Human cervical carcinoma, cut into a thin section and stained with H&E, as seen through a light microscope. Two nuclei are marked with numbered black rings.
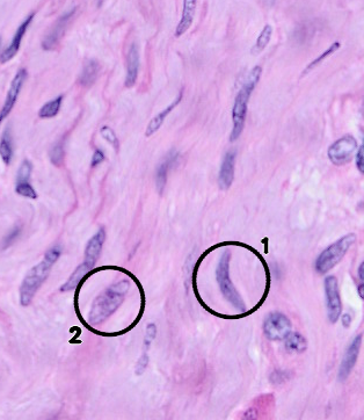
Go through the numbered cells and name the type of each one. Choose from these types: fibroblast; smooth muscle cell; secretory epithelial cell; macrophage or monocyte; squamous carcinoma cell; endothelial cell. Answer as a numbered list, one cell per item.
1. fibroblast
2. smooth muscle cell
